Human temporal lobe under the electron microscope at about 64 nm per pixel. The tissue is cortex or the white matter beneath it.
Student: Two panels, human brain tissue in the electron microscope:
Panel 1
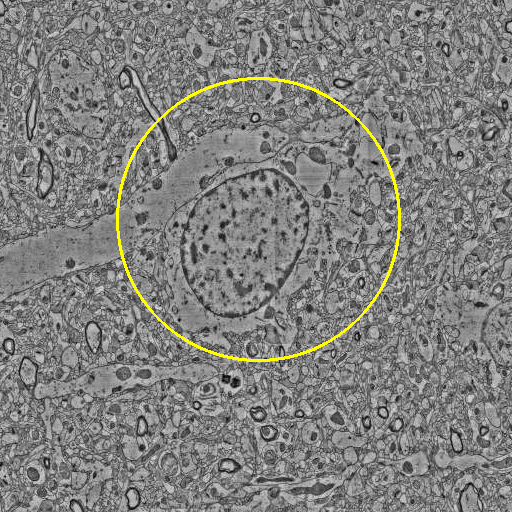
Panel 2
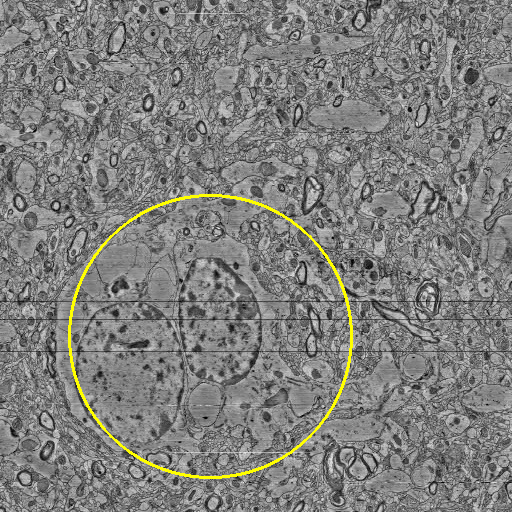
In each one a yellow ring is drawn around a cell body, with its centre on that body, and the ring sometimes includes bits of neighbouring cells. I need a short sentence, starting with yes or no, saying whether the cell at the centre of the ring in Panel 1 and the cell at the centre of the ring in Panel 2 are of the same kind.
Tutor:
Yes, they are the same kind of cell.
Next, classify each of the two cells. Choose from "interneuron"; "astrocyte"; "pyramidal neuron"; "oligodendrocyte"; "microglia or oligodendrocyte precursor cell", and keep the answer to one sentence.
The ring centre holds an astrocyte in each of the two pictures.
